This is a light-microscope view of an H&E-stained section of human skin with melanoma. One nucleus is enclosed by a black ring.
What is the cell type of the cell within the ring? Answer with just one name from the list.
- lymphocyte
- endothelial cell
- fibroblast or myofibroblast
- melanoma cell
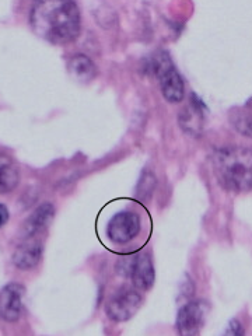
melanoma cell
